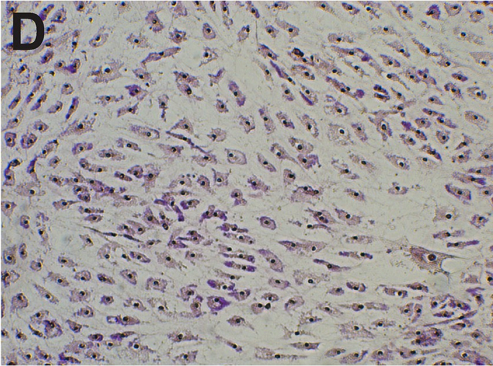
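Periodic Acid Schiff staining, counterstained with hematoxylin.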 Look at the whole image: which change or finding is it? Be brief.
Polygonal shape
